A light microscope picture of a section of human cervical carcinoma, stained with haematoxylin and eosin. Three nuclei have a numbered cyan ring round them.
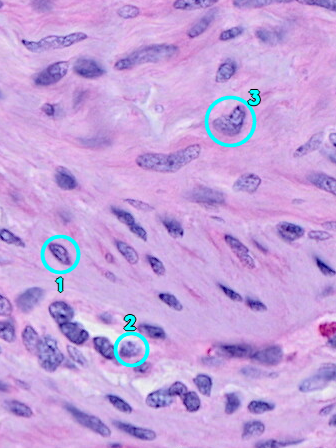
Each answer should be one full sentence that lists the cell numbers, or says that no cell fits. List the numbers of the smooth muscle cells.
The cells numbered 1 and 3 fall into the category of smooth muscle cells.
